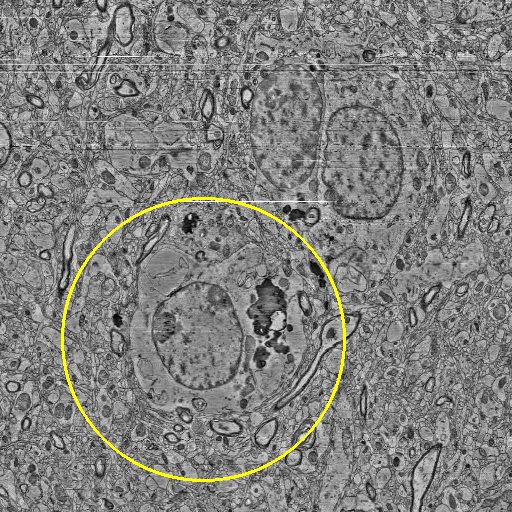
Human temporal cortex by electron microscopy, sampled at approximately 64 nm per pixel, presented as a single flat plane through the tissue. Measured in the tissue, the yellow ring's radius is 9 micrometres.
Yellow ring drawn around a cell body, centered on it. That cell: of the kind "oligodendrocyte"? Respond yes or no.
no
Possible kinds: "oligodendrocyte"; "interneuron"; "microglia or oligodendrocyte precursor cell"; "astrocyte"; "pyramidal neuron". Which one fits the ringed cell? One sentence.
As it turns out, the cell at the ring centre is an astrocyte.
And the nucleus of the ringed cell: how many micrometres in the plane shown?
Roughly 7 micrometres by 6 micrometres, in this plane.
